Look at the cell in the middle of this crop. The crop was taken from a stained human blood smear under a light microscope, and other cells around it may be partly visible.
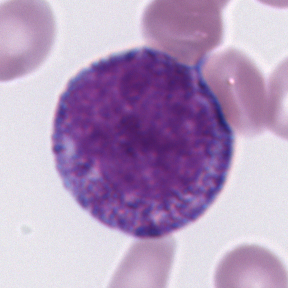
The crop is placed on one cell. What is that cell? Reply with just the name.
promyelocyte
